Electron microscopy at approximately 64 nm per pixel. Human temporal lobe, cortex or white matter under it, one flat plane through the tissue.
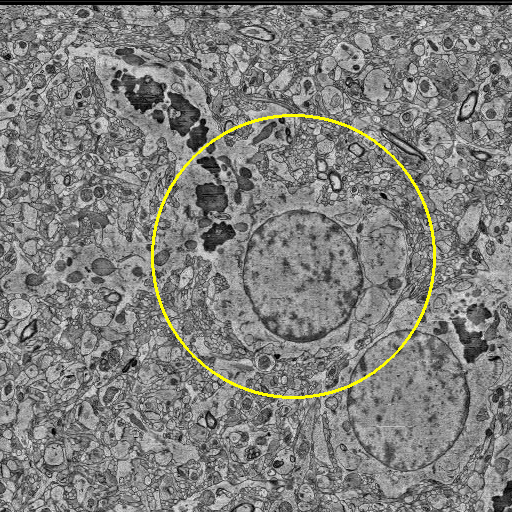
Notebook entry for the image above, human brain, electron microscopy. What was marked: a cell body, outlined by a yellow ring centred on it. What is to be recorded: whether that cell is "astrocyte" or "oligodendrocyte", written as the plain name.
astrocyte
